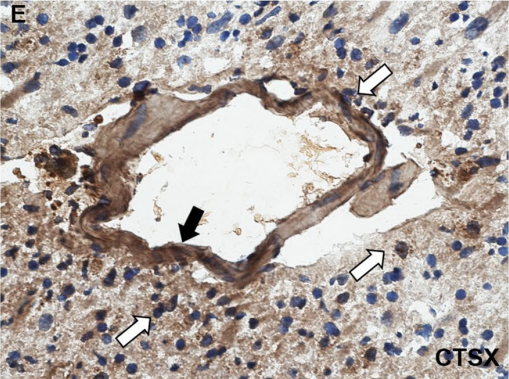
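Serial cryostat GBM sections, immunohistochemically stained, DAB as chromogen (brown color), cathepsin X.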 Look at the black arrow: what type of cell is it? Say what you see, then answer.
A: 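The black arrow points to the innermost lining of the vessel wall at the lumen.
Hence: endothelial cells.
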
